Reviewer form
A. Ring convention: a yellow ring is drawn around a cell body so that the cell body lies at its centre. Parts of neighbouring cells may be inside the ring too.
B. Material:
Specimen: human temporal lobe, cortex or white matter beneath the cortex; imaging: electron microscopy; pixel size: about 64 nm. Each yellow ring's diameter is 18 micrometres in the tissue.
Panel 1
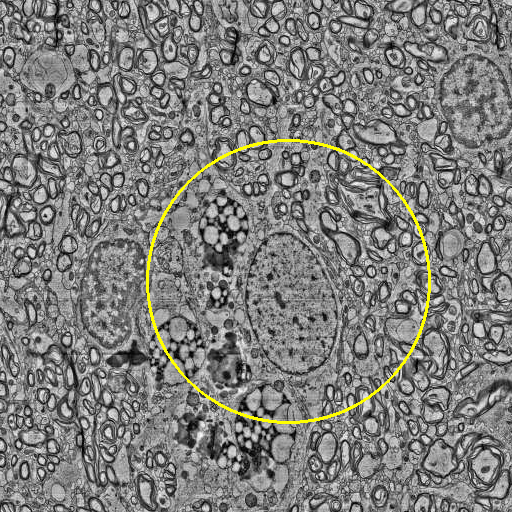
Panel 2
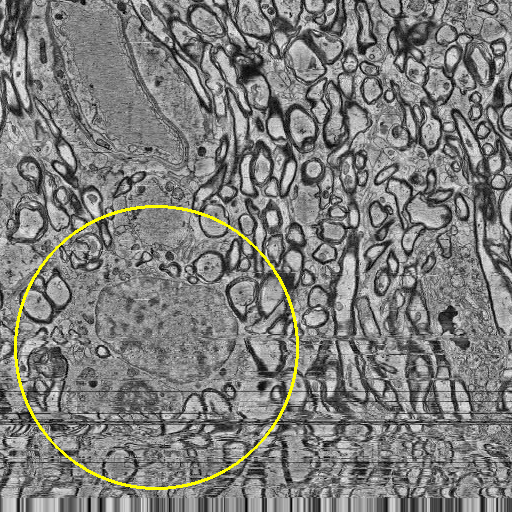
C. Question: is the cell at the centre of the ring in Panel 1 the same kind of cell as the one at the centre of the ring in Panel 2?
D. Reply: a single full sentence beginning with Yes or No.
No, the cells in Panel 1 and Panel 2 are two kinds of cell.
